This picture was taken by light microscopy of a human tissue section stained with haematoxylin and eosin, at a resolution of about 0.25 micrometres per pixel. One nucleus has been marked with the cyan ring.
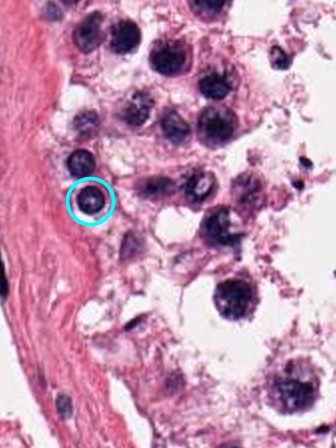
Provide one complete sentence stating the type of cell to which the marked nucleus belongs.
The marked nucleus forms part of a spermatogonium.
